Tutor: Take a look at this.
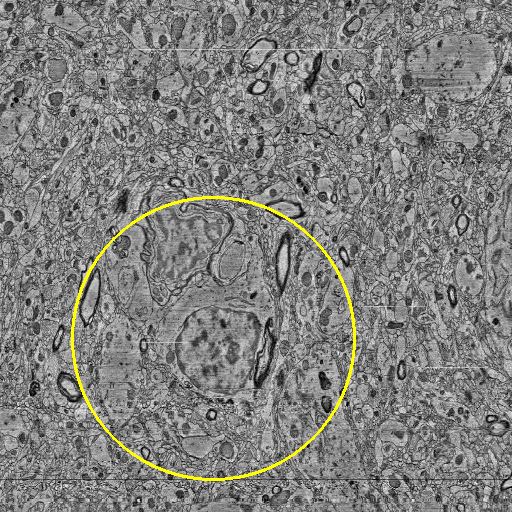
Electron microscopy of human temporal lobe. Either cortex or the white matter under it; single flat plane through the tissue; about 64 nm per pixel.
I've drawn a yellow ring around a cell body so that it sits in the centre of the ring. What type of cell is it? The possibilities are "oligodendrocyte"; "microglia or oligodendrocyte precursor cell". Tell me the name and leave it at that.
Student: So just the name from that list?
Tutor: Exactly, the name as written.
microglia or oligodendrocyte precursor cell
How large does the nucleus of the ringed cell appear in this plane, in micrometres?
In this plane the nucleus is about 6 micrometres across.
